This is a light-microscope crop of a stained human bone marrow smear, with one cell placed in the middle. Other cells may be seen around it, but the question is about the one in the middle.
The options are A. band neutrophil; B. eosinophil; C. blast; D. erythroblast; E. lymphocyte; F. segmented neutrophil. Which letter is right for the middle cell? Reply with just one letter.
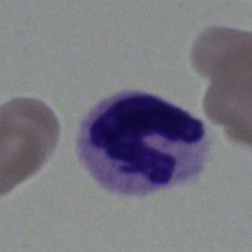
F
